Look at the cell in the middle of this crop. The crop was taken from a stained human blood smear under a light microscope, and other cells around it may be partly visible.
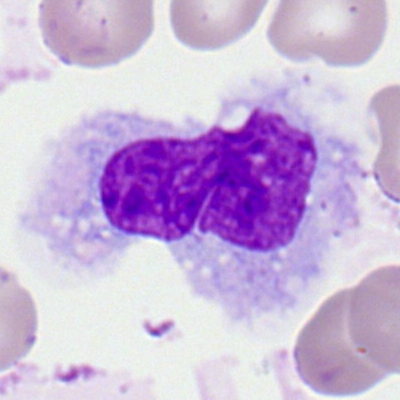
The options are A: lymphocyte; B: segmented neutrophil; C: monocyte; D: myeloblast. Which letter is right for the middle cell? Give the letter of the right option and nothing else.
C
